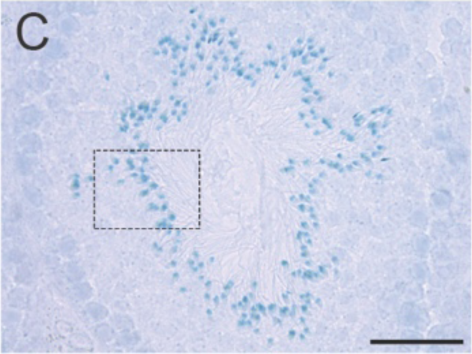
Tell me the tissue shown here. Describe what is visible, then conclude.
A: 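A round tubule cross-section with a central lumen. Lumen filled with fine tail-like fibres. Many layered round cells in the tubule wall.
Hence: testis.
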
